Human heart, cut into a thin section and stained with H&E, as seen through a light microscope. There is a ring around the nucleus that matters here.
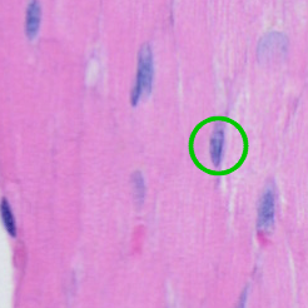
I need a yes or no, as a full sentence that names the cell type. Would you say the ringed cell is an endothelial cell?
Yes, the ringed cell is properly regarded as an endothelial cell.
